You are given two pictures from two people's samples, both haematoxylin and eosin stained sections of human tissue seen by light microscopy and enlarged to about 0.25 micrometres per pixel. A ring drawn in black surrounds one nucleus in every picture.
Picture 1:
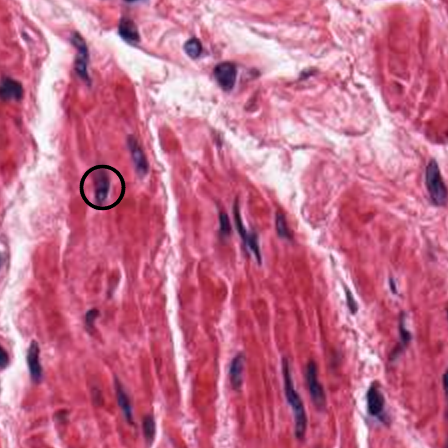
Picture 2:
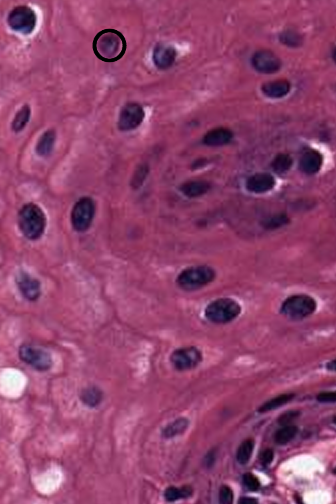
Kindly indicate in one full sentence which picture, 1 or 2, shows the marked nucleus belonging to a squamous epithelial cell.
Picture 2 has its marked nucleus belonging to a squamous epithelial cell; the other picture does not.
